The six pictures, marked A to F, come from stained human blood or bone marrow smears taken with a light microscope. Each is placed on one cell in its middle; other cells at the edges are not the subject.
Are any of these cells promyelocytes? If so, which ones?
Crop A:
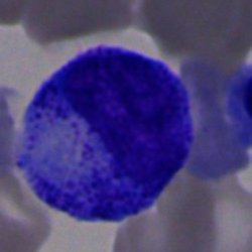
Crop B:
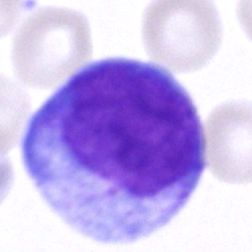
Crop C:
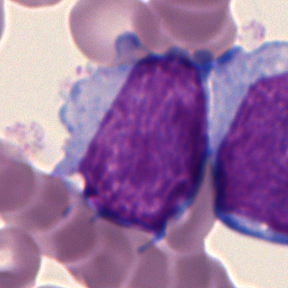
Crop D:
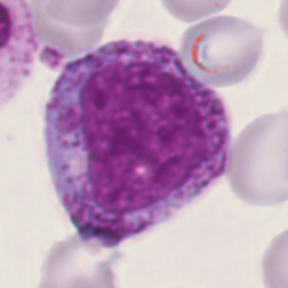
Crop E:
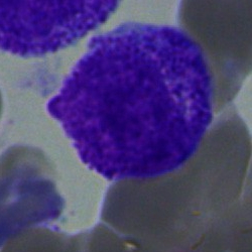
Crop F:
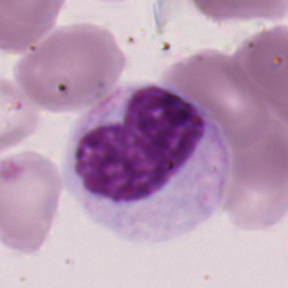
A, B, D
